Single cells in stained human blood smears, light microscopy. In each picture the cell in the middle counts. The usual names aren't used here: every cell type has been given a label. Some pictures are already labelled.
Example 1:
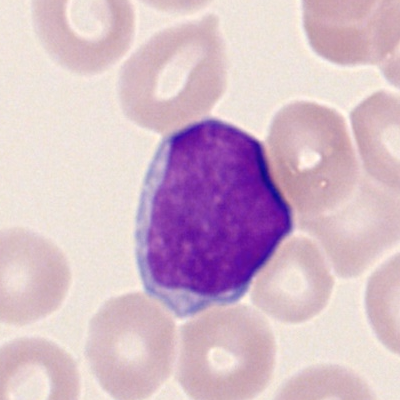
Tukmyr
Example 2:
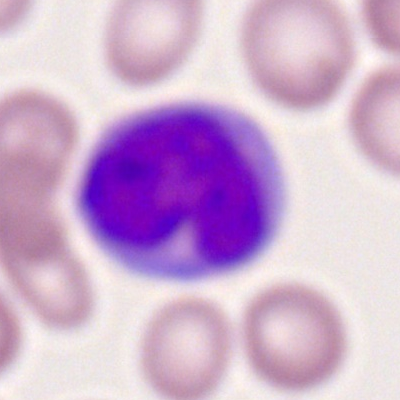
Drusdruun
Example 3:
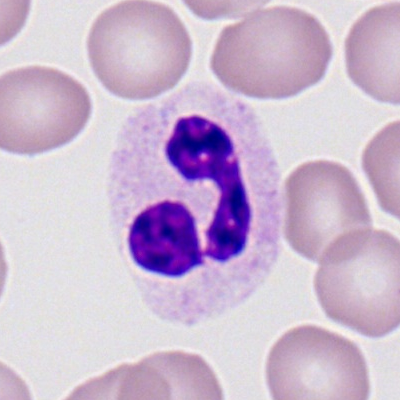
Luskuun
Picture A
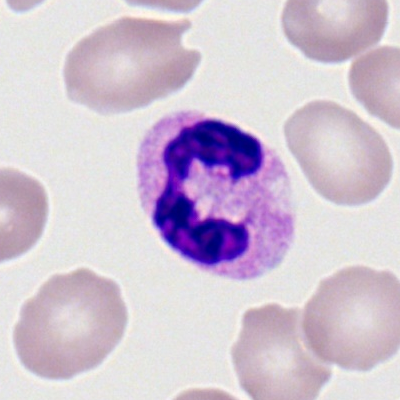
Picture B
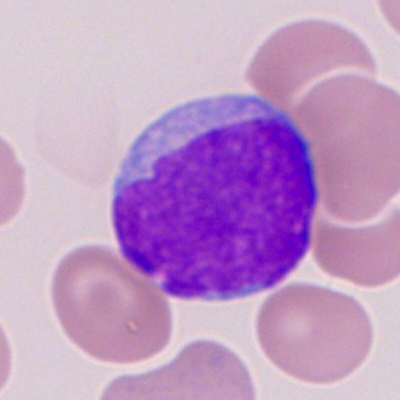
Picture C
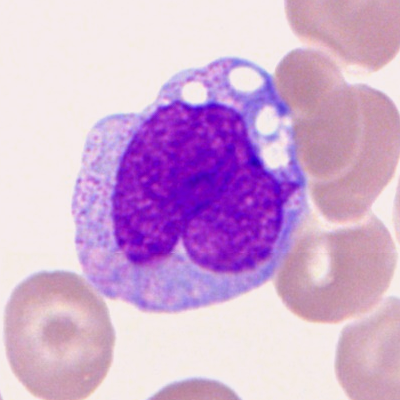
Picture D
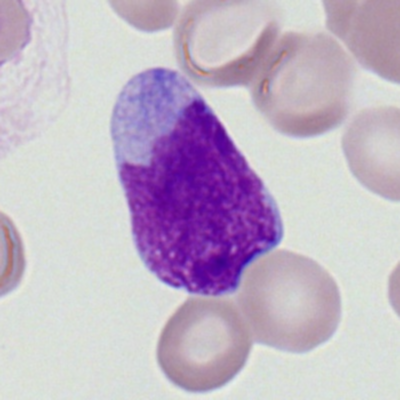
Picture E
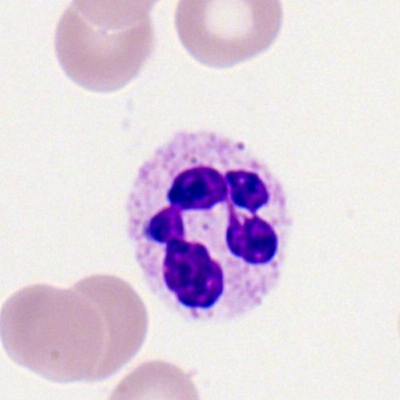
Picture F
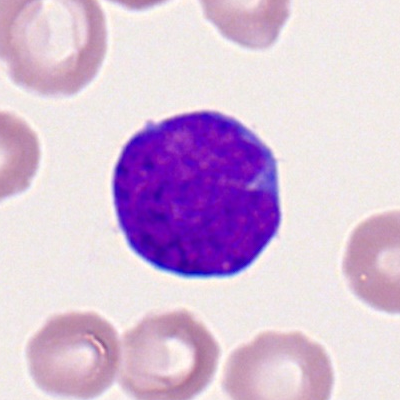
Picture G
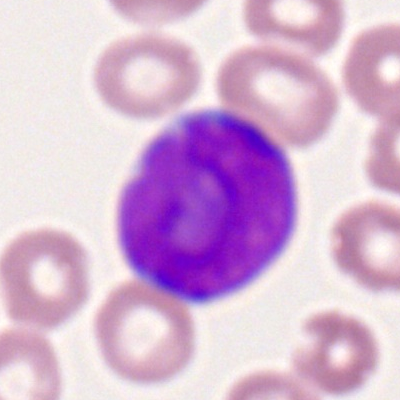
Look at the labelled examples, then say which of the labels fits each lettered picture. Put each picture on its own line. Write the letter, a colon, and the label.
A: Luskuun
B: Tukmyr
C: Drusdruun
D: Tukmyr
E: Luskuun
F: Tukmyr
G: Tukmyr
